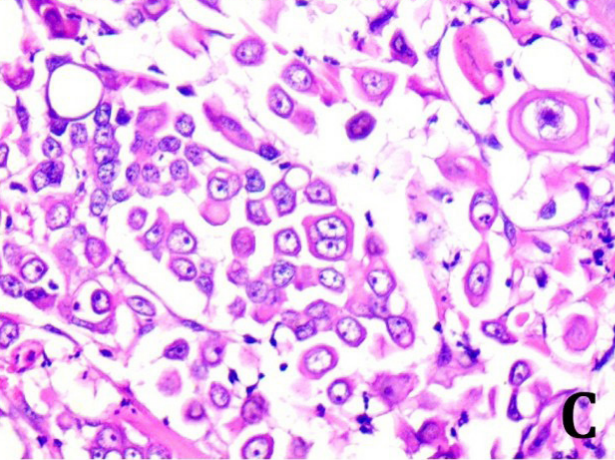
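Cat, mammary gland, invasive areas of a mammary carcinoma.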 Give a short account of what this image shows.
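The cells vary markedly in size and shape. Their cytoplasm is abundant and pink, and their nuclei are large, round to oval and pale, each with a prominent dark nucleolus. Some cells hold nuclei much larger than their neighbours, and a few cells are multinucleated.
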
